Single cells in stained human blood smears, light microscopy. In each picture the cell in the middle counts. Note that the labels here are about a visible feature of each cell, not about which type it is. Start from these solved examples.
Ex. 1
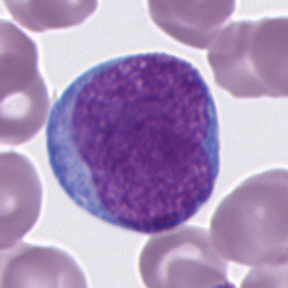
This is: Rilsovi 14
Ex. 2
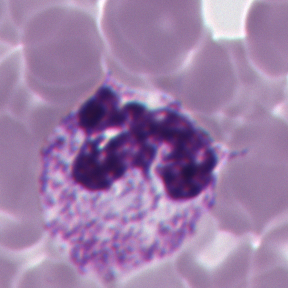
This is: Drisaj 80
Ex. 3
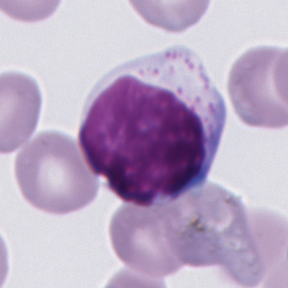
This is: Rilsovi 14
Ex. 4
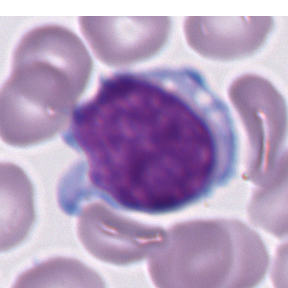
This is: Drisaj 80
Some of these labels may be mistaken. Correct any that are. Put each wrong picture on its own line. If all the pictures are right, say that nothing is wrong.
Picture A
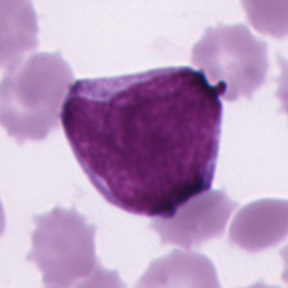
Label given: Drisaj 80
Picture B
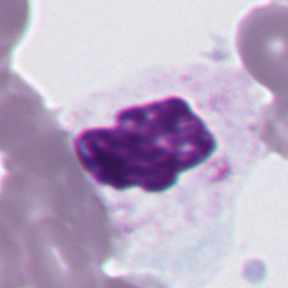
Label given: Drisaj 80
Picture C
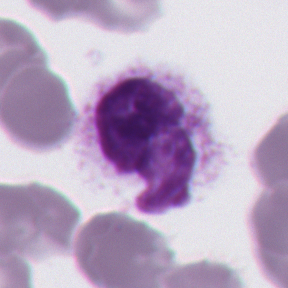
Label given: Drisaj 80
All labels are correct.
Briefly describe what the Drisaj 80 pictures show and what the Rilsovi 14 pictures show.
Drisaj 80, ragged outline or projections; Rilsovi 14, smooth outline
